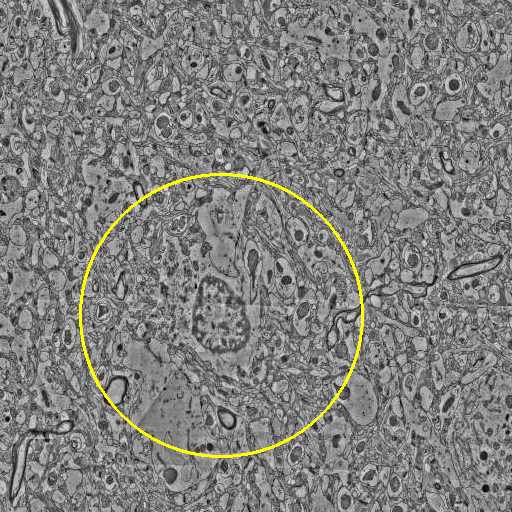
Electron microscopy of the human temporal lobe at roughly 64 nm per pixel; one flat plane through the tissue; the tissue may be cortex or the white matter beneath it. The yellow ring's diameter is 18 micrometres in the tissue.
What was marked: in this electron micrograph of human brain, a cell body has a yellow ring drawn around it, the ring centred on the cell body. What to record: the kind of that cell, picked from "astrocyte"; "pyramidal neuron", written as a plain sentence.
The centred cell is an astrocyte.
